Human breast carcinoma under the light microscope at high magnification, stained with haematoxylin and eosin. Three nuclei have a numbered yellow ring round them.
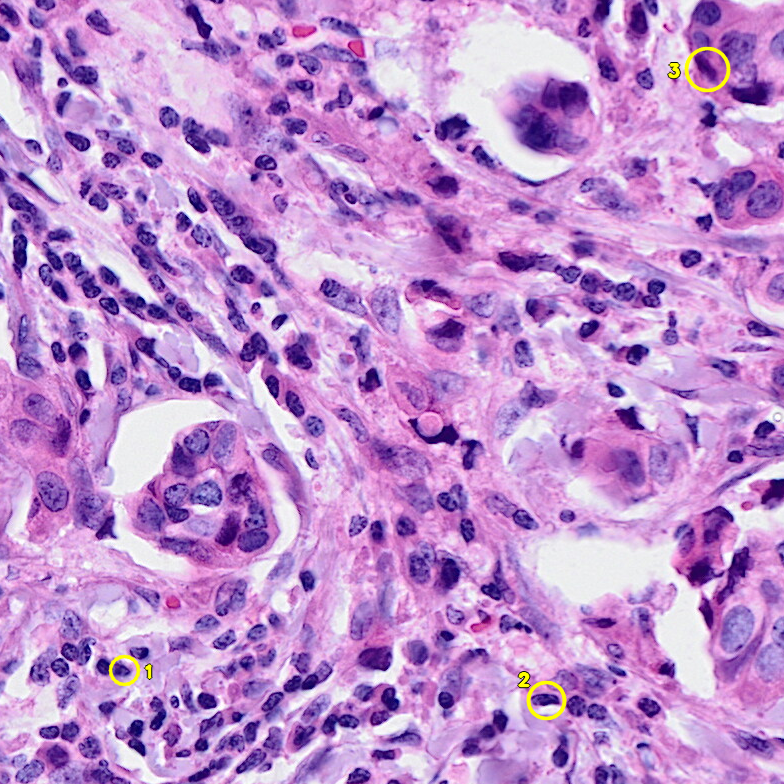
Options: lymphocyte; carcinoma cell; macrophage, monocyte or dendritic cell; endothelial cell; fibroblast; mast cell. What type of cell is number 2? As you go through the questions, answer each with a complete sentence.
The cell numbered 2 has been identified as a lymphocyte.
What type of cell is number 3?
Marked with the number 3, this cell is a carcinoma cell.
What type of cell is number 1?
Cell 1 should be recorded as a lymphocyte.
